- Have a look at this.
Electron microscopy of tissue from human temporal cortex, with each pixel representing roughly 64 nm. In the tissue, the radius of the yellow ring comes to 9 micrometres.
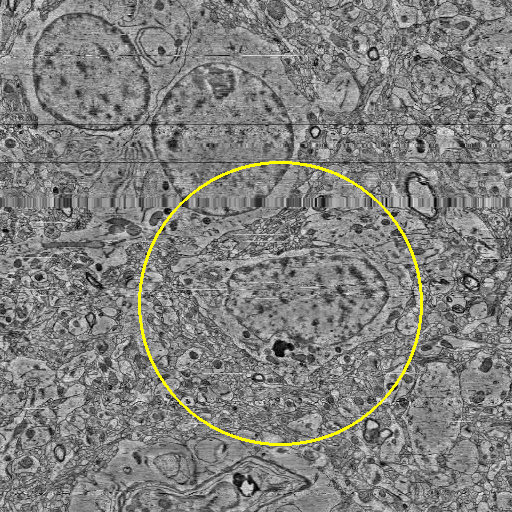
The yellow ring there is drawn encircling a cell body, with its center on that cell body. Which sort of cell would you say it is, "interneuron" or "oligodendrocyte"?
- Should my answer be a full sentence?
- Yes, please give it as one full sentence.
For this picture, an interneuron is the cell where the yellow ring has its center.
